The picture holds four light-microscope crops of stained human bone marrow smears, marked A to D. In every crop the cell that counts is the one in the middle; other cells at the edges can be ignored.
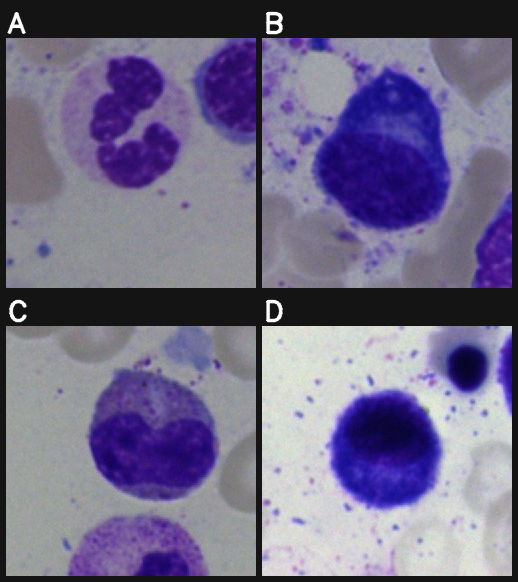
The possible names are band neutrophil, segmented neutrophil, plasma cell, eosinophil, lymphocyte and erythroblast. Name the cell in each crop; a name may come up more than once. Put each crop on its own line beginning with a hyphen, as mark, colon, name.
- A: segmented neutrophil
- B: plasma cell
- C: eosinophil
- D: plasma cell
